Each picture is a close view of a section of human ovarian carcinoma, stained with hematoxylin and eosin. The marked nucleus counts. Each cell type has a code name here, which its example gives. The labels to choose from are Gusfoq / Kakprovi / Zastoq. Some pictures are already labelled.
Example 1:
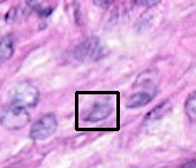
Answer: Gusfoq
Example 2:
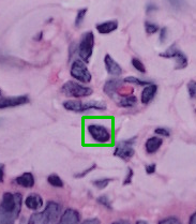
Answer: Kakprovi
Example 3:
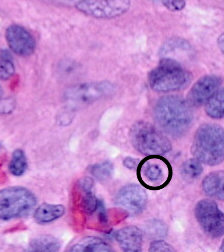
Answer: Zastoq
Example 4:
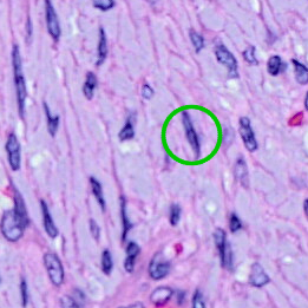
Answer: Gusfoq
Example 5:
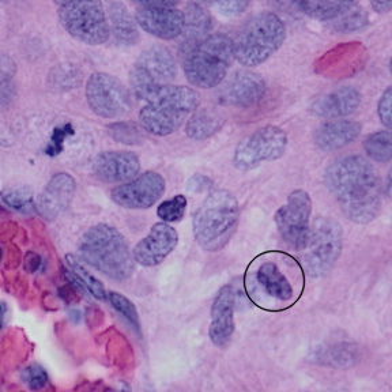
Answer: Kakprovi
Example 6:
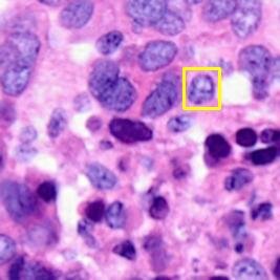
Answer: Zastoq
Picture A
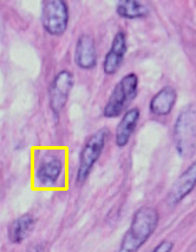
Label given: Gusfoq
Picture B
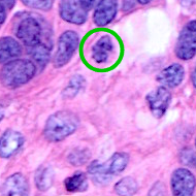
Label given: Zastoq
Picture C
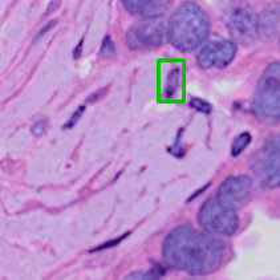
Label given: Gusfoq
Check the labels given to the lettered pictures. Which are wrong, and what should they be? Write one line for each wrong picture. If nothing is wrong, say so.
No label is wrong.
